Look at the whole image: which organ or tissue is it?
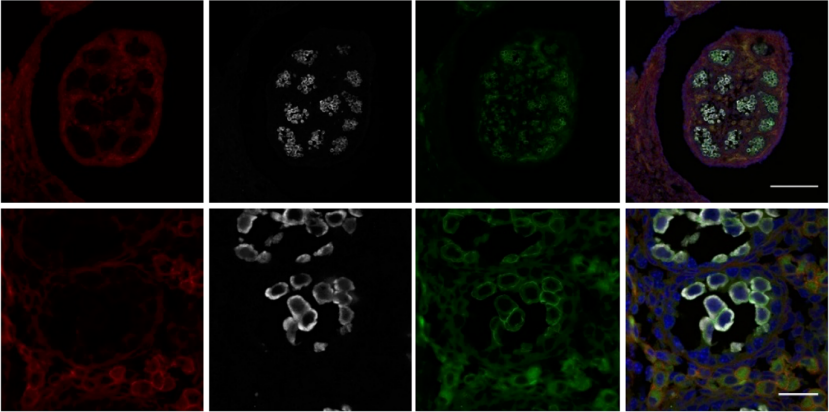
testis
